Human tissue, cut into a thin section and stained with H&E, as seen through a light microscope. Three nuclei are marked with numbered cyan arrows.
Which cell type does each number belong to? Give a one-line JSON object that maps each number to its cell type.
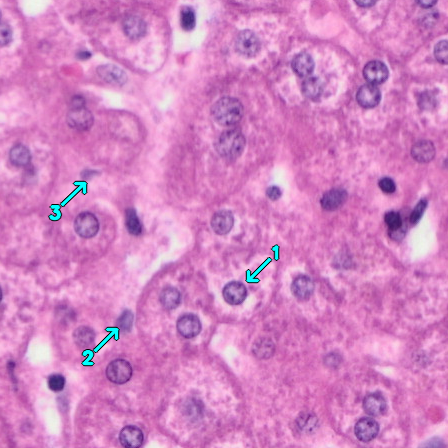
{"1": "hepatocyte", "2": "endothelial cell", "3": "endothelial cell"}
